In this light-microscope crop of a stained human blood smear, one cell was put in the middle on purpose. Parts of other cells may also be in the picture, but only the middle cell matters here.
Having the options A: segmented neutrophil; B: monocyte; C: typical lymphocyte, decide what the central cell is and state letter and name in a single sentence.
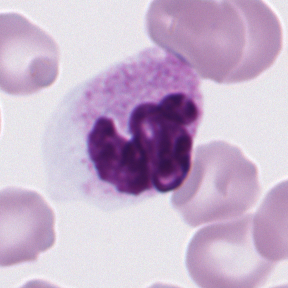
The middle cell of the crop is a segmented neutrophil; accordingly, option A is correct.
